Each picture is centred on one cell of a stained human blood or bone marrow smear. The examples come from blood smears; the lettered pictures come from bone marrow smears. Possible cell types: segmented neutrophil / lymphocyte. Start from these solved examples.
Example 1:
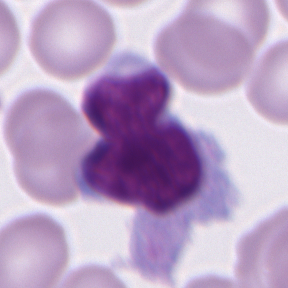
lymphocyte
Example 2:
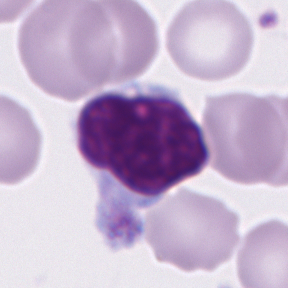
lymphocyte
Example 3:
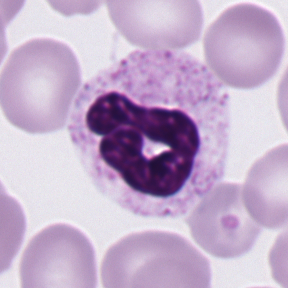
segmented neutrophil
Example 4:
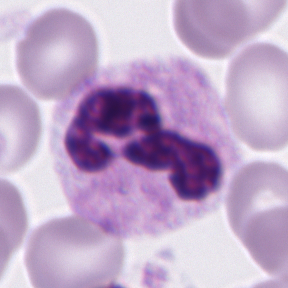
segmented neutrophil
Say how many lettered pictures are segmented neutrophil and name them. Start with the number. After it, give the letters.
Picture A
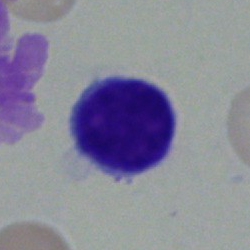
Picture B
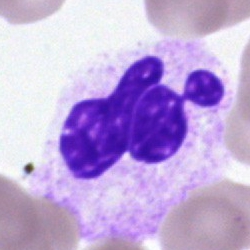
1, namely B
